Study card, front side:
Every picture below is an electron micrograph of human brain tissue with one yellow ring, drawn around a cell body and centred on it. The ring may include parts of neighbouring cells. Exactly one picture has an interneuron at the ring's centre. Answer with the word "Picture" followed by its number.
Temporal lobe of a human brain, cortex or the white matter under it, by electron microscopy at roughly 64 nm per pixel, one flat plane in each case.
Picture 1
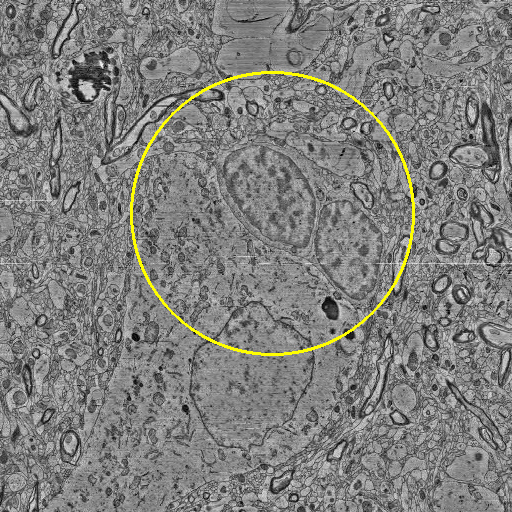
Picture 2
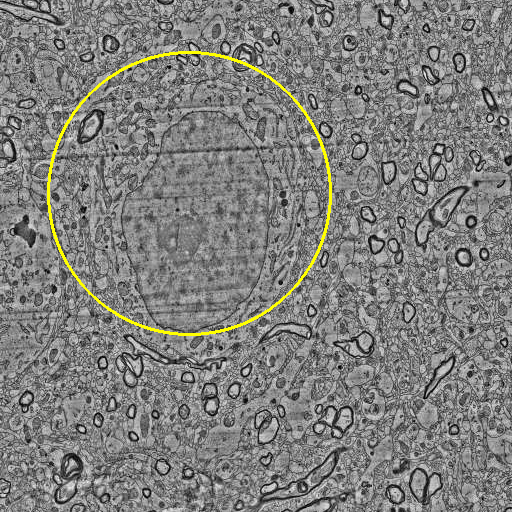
Picture 2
